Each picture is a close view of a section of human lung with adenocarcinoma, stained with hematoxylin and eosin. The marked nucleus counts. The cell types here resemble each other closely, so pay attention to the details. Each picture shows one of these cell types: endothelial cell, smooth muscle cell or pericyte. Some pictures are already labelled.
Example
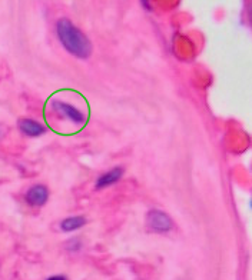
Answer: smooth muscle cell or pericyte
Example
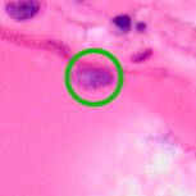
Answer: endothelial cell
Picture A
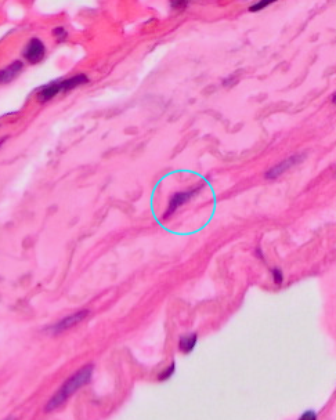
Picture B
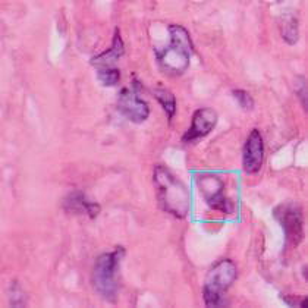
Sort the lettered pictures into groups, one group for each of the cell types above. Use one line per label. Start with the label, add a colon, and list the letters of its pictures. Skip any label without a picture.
endothelial cell: B
smooth muscle cell or pericyte: A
